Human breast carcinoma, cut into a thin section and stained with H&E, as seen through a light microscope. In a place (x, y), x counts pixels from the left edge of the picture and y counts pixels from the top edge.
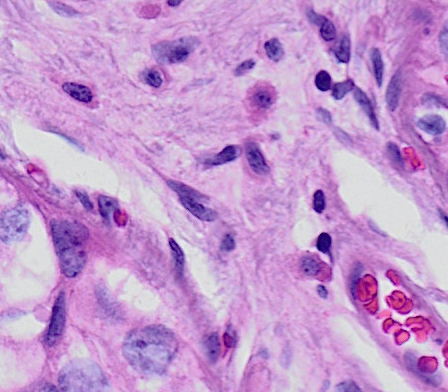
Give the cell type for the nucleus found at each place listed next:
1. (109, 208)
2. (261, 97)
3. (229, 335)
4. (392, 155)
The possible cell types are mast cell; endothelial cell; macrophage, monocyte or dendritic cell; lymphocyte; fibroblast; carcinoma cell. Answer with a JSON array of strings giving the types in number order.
["endothelial cell", "mast cell", "endothelial cell", "endothelial cell"]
